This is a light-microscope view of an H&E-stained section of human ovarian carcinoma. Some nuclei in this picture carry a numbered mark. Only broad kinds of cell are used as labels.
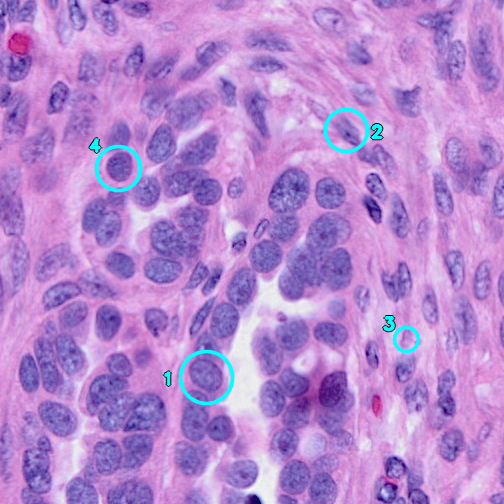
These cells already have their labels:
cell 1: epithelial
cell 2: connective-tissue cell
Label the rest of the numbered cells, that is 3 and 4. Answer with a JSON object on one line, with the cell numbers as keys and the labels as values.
{"3": "connective-tissue cell", "4": "epithelial"}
